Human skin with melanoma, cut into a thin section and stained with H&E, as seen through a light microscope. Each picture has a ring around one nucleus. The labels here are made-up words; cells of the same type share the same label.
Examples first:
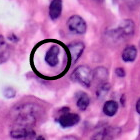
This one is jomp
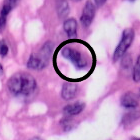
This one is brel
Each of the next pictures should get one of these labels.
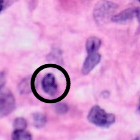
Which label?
jomp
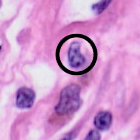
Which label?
jomp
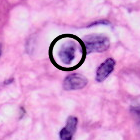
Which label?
jomp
